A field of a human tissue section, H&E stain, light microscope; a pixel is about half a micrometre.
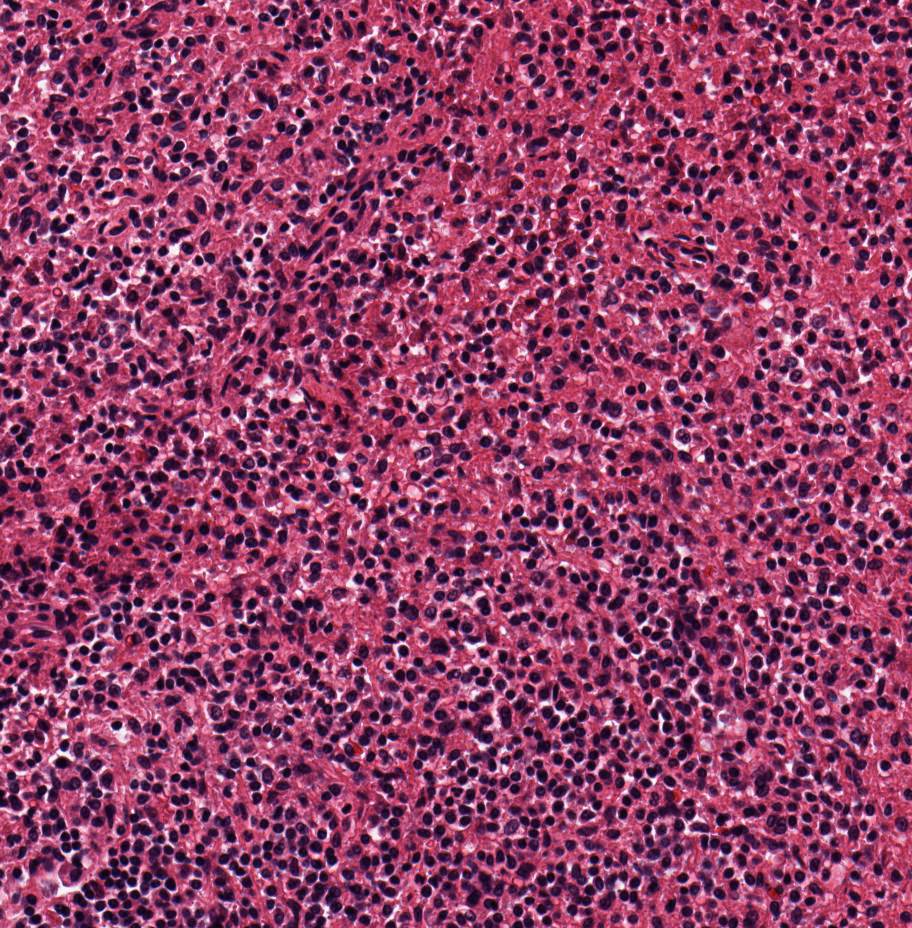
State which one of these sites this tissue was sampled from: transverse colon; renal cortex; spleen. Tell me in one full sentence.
The specimen in this section was collected from the spleen.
